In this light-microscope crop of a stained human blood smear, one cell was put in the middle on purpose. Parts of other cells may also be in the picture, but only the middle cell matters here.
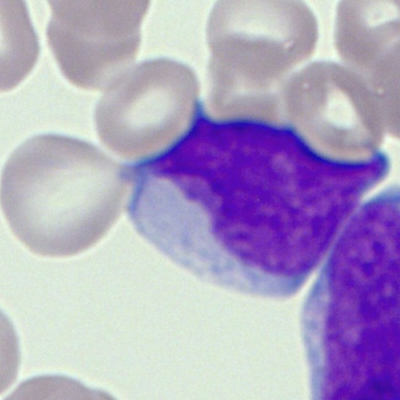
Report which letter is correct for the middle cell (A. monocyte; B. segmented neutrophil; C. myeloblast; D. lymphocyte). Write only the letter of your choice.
C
